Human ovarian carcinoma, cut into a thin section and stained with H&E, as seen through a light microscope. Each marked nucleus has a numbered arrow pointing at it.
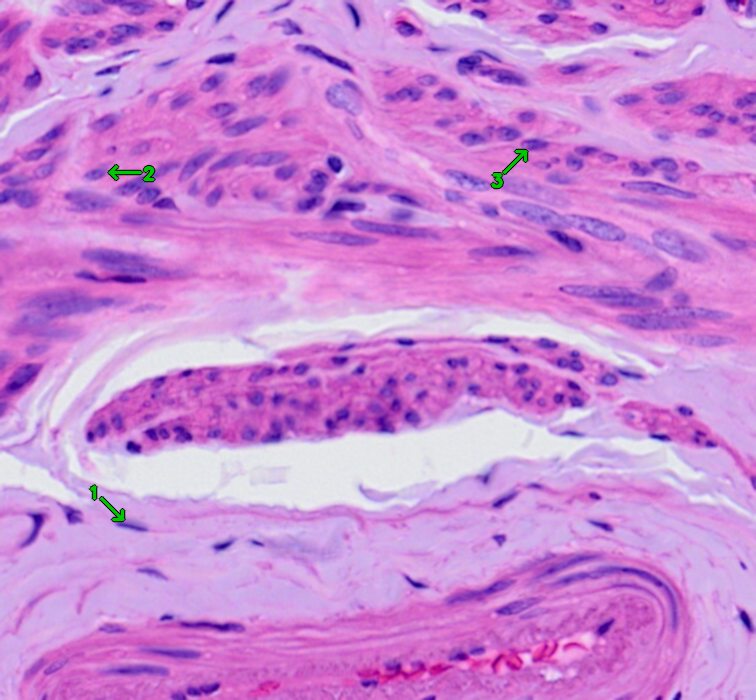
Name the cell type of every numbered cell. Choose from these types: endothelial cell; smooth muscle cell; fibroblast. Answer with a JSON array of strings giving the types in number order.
["fibroblast", "smooth muscle cell", "smooth muscle cell"]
